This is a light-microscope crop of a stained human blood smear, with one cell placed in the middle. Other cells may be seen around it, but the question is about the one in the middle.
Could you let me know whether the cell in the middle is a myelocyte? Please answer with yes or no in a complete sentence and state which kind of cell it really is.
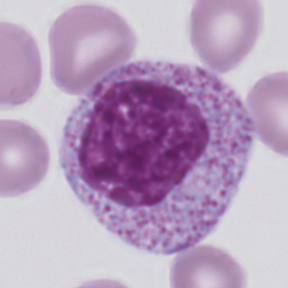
Yes, the crop's central cell is a myelocyte.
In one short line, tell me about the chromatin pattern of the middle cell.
This nucleus has coarsely clumped chromatin.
